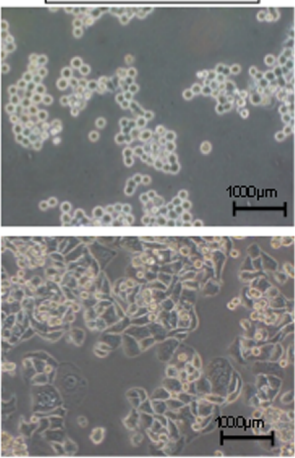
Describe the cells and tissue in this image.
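Upper field: round, bright-haloed refractile cells packed into grape-like clusters and irregular sheets of rounded cells, separated by empty background. Lower field: many cells are flattened and polygonal, some elongated toward a spindle shape, lying close together in patches; rounded refractile cells still sit among and on top of them. The flattened cells have less halo and more visible outlines than the round ones.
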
